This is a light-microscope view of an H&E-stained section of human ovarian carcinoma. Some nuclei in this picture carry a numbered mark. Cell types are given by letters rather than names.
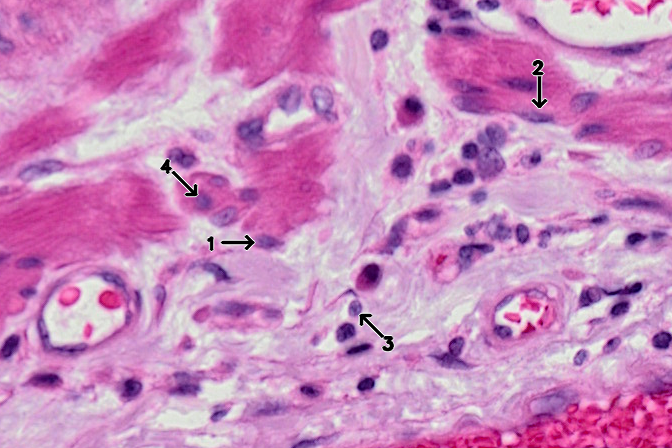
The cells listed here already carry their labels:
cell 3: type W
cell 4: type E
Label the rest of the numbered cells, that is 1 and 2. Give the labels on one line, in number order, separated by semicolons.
type E; type E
